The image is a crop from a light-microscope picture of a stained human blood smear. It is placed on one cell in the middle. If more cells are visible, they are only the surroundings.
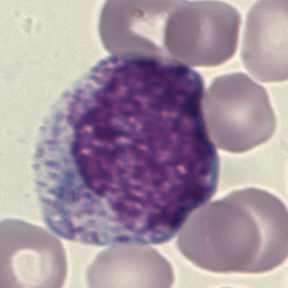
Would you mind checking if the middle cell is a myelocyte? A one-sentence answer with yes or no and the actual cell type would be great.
Yes, the cell in the middle has the identity of a myelocyte.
